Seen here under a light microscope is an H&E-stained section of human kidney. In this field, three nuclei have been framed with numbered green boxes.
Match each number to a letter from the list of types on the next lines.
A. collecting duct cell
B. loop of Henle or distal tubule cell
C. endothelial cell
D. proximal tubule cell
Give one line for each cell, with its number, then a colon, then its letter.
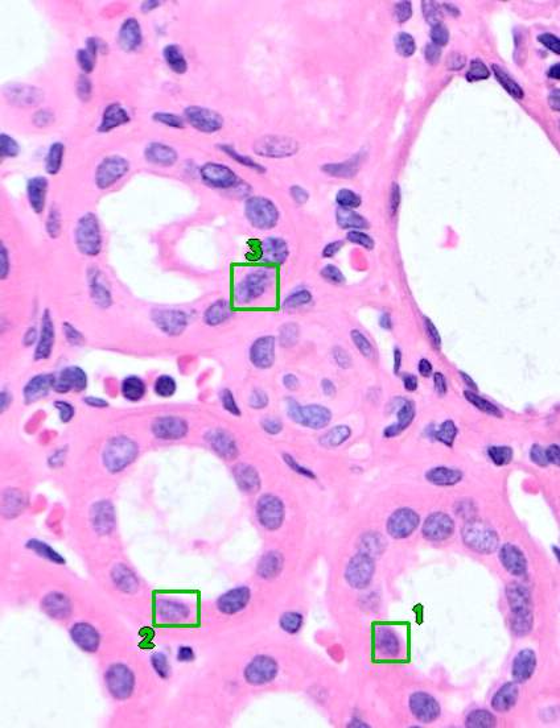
1: B
2: B
3: A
